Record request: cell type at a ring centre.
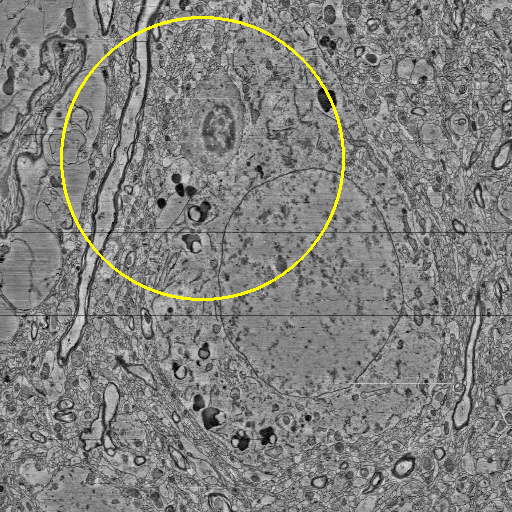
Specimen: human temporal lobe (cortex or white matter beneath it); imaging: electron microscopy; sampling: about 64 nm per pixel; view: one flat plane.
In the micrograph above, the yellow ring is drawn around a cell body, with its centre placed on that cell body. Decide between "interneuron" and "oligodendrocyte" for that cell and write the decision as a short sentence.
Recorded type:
The cell centred in the yellow ring is an oligodendrocyte.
